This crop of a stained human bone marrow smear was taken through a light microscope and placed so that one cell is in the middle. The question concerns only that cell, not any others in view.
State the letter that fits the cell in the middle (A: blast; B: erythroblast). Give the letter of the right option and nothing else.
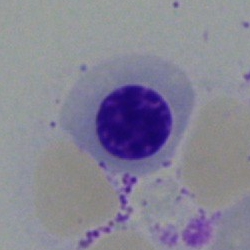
B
